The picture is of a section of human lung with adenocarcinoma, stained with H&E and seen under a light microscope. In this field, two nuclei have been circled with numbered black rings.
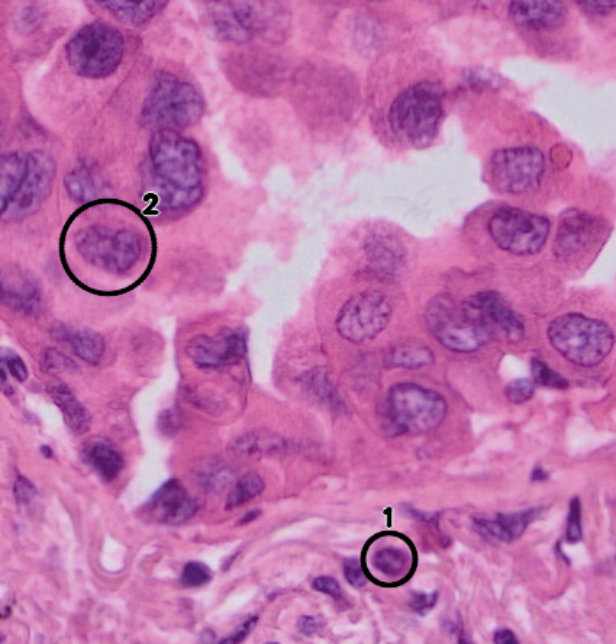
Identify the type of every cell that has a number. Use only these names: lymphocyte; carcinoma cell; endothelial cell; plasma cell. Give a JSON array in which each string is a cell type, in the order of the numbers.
["plasma cell", "carcinoma cell"]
